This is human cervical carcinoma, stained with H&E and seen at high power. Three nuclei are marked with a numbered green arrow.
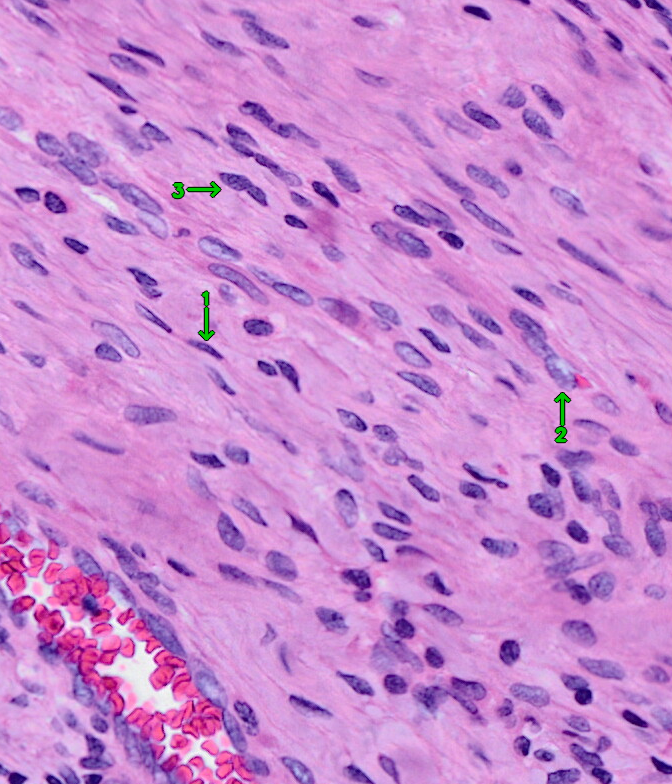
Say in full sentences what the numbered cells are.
Cells 1 and 3 are fibroblasts. Cell 2 is an endothelial cell.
